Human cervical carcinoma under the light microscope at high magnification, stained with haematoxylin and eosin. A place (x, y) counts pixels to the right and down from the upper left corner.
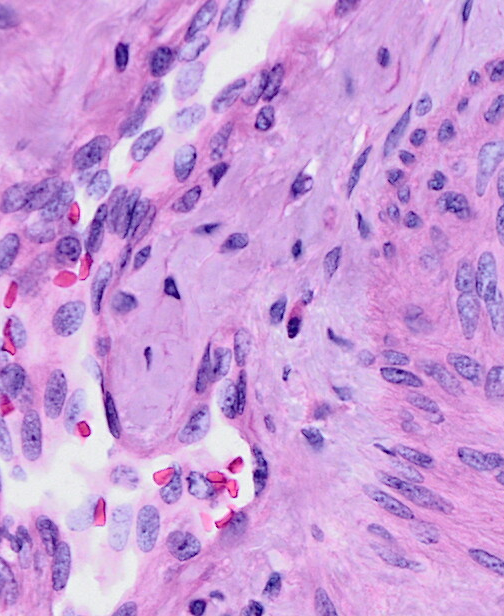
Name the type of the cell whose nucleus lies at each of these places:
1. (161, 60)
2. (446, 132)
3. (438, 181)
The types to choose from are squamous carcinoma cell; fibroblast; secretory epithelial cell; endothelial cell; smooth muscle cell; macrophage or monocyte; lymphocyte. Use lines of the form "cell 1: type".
cell 1: endothelial cell
cell 2: smooth muscle cell
cell 3: smooth muscle cell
